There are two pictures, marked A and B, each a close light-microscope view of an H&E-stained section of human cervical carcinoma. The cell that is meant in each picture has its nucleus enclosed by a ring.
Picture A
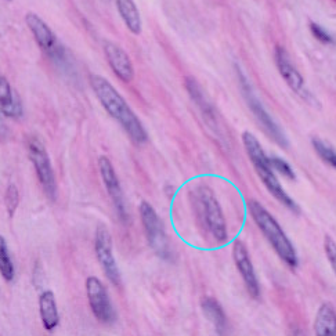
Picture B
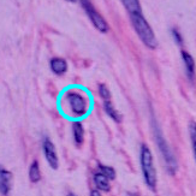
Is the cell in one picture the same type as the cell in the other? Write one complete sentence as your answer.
Yes; the cells in both pictures are smooth muscle cells.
